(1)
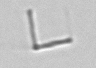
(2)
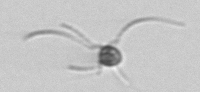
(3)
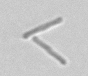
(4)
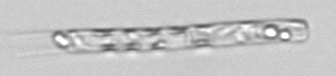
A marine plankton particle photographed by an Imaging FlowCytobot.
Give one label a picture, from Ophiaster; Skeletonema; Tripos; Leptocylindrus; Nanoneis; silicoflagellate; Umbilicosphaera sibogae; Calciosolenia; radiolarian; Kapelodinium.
Picture 1: Nanoneis
Picture 2: Ophiaster
Picture 3: Nanoneis
Picture 4: Leptocylindrus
